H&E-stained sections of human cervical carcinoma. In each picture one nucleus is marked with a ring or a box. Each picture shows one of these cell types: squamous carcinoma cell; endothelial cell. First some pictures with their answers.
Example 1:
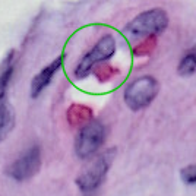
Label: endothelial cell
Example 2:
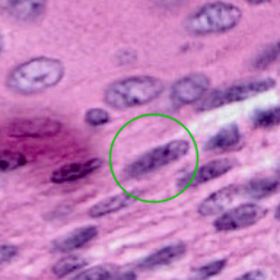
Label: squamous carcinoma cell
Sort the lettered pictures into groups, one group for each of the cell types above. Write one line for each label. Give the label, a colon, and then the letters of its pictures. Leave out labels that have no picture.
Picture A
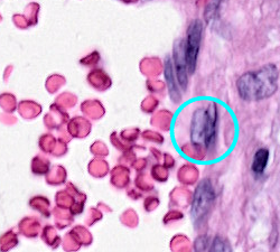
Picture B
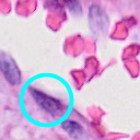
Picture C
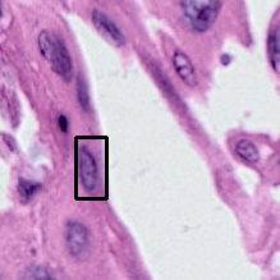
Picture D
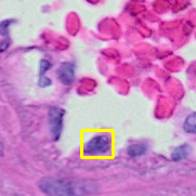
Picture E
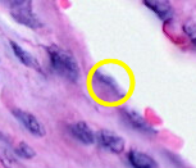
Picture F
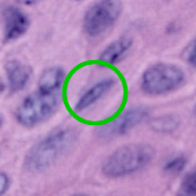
squamous carcinoma cell: C, F
endothelial cell: A, B, D, E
